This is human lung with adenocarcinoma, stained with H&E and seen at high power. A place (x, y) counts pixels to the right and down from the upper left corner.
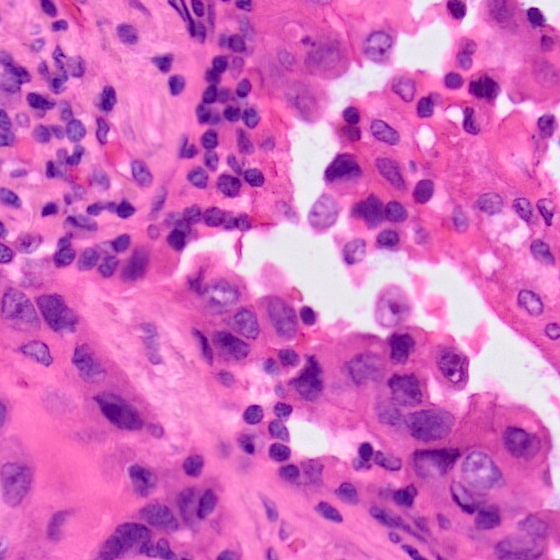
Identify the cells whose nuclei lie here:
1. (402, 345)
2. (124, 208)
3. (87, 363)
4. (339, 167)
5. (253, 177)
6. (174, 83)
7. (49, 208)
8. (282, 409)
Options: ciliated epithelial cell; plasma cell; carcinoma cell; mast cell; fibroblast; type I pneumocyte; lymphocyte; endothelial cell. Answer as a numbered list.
1. carcinoma cell
2. lymphocyte
3. carcinoma cell
4. carcinoma cell
5. lymphocyte
6. lymphocyte
7. lymphocyte
8. lymphocyte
